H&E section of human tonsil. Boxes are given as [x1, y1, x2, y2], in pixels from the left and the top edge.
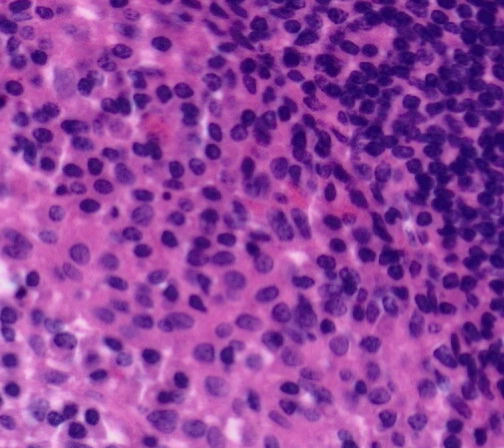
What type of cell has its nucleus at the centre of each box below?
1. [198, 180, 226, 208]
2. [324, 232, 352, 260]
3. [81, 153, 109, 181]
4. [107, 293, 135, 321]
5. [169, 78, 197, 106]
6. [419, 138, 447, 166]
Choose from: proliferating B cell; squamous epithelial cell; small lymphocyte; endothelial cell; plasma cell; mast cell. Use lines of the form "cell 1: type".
cell 1: plasma cell
cell 2: plasma cell
cell 3: plasma cell
cell 4: squamous epithelial cell
cell 5: plasma cell
cell 6: small lymphocyte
